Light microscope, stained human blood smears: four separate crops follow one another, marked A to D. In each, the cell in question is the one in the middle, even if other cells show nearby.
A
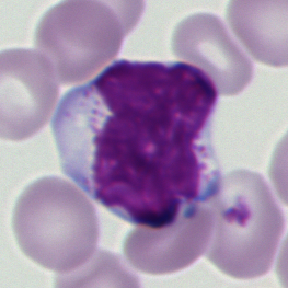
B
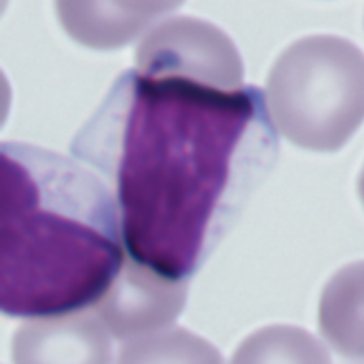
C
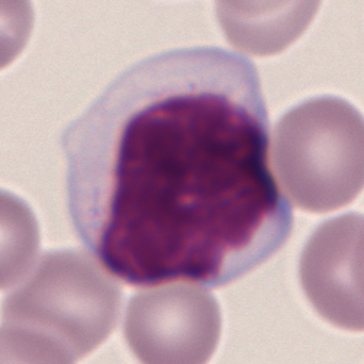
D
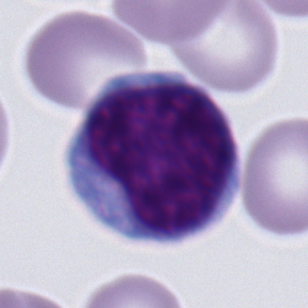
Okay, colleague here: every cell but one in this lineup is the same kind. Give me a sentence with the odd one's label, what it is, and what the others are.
Among these crops, large granular lymphocytes occur in all but crop D, which contains a typical lymphocyte.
